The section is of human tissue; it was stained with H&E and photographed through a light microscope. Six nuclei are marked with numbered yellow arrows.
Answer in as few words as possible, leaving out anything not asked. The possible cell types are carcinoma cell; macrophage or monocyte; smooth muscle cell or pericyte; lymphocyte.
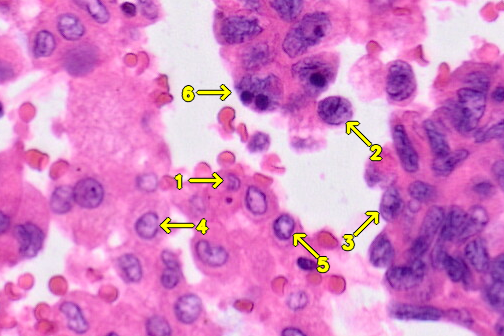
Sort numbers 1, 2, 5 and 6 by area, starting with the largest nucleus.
6, 2, 5, 1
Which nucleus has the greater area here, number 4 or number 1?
4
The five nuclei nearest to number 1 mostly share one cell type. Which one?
macrophage or monocyte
